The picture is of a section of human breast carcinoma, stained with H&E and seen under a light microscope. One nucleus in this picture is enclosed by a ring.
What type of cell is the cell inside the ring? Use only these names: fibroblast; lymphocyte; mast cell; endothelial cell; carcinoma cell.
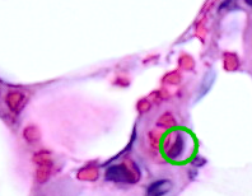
endothelial cell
